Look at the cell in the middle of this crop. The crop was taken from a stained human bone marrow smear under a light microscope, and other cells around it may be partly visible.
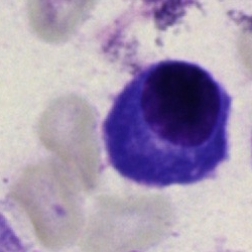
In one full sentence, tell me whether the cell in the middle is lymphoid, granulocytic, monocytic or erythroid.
In this crop the cell in the center is part of the lymphoid lineage.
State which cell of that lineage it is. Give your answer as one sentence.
This crop has a plasma cell at its centre.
